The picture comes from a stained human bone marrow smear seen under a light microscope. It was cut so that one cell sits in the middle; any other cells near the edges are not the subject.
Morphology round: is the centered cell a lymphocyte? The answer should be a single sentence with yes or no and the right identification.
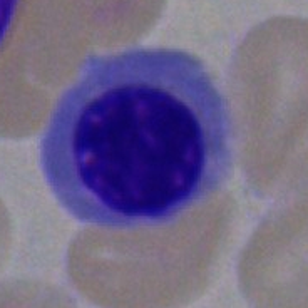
No, the cell in the centre is to be called an erythroblast instead of a lymphocyte.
